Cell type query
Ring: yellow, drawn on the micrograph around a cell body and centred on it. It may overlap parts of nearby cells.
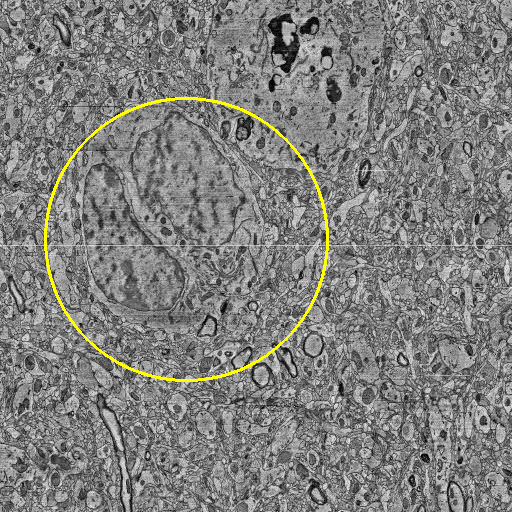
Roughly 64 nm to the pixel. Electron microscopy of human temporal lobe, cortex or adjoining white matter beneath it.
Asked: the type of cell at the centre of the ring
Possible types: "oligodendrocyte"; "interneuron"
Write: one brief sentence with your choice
The ring marks an interneuron.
